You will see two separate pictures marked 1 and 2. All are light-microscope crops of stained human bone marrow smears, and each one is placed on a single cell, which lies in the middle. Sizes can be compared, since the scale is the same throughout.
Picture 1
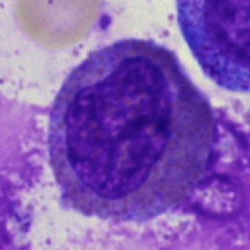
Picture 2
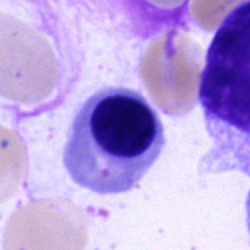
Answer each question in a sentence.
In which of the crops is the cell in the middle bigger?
It is the cell in picture 1, about 3 times as large in area as the cell in picture 2.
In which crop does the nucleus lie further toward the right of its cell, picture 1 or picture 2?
The nucleus in picture 2 lies further toward the right of its cell.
